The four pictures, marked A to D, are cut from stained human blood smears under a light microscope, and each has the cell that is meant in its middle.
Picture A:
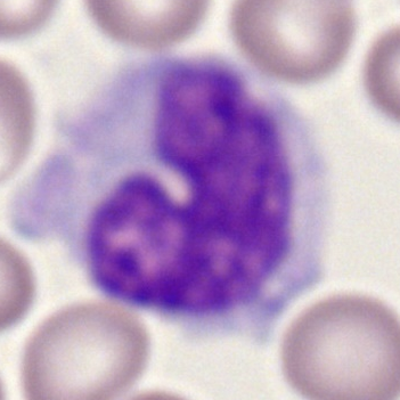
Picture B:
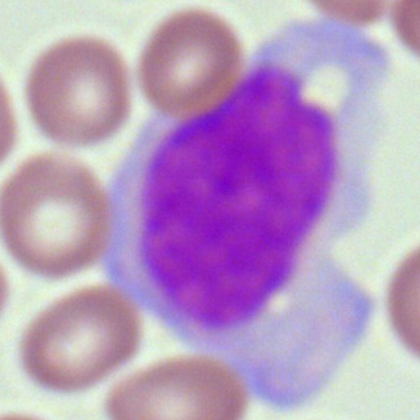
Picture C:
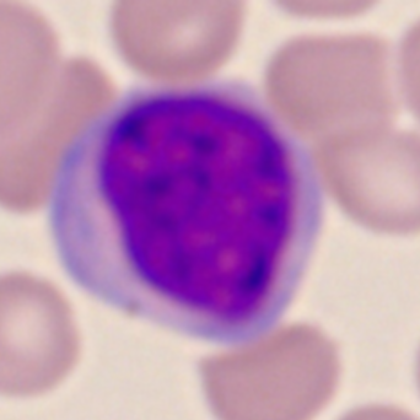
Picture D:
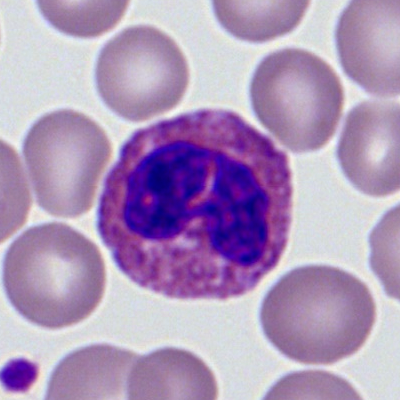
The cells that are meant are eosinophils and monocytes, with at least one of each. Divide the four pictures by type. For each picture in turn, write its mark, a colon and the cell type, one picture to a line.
A: monocyte
B: monocyte
C: monocyte
D: eosinophil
